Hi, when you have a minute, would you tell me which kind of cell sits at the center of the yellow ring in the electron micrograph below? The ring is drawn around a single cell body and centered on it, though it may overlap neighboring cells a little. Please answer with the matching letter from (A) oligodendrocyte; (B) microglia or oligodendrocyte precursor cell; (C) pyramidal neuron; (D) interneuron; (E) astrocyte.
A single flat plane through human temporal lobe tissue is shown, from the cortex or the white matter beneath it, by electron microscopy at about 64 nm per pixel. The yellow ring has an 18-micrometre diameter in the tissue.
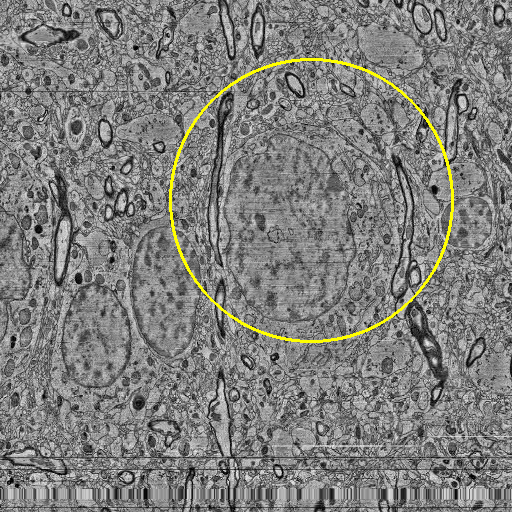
D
